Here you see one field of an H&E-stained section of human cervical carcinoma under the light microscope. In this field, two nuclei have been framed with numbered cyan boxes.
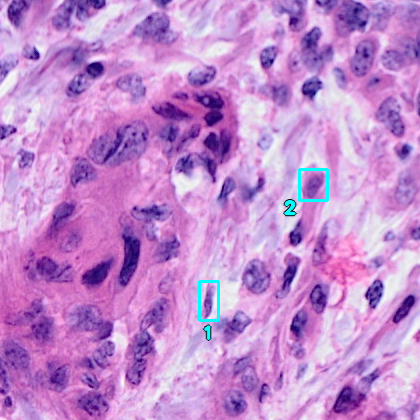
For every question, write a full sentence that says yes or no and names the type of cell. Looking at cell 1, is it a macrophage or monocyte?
No, number 1 is not a macrophage or monocyte but a fibroblast.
